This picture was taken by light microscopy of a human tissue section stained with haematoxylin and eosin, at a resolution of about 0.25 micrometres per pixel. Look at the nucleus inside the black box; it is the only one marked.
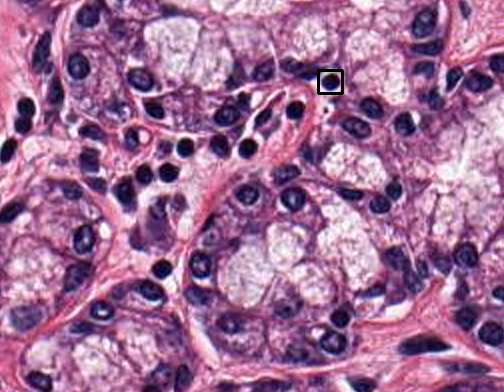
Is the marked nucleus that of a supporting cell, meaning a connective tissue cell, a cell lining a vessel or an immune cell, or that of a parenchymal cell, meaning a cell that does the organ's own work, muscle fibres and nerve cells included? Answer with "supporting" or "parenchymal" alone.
supporting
